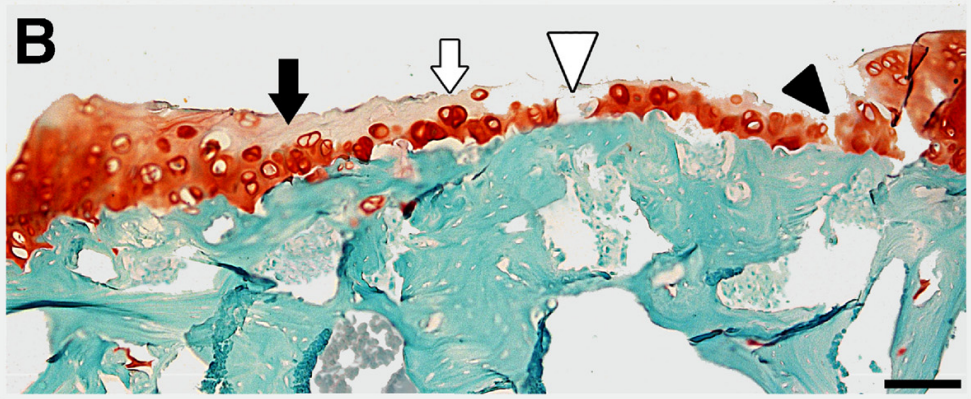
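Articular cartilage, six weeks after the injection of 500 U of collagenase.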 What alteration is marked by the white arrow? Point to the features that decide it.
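Chondrocyte clustering and hypertrophy. Enlarged rounded cells lie grouped together in one lacuna-like cluster.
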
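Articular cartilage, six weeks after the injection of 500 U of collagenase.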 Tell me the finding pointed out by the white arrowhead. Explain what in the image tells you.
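Under the arrowhead the red cartilage layer is very thin or interrupted. Green-stained bone comes close to the surface there.
Marked erosion with exposure of the subchondral bone.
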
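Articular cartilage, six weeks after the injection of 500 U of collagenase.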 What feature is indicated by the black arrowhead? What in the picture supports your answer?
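A cleft runs down through the cartilage next to the arrowhead. The cartilage on either side is separated by a gap. On this evidence: fissures.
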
